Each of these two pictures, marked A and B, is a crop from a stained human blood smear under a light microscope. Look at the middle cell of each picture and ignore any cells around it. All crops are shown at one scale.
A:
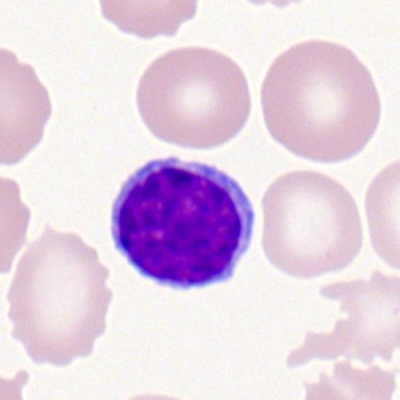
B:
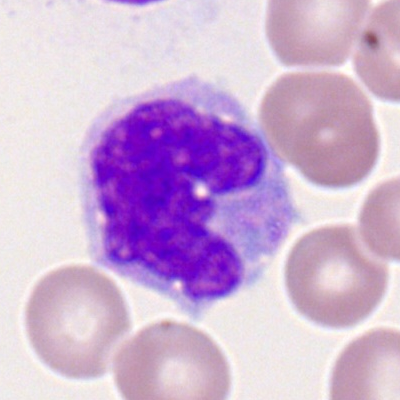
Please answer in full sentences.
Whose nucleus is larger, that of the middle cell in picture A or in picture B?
The nucleus in picture B is larger, with about 1.5 times the area of the one in picture A.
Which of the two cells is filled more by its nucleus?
It is the cell in picture A that is filled more by its nucleus.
